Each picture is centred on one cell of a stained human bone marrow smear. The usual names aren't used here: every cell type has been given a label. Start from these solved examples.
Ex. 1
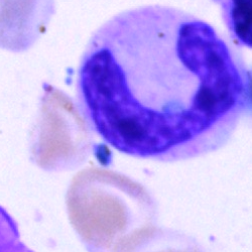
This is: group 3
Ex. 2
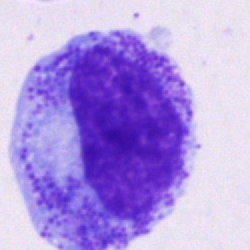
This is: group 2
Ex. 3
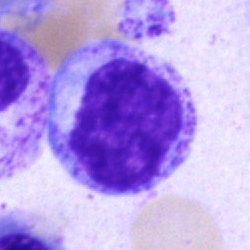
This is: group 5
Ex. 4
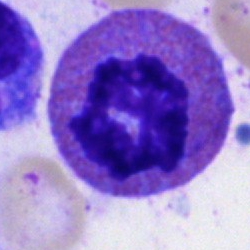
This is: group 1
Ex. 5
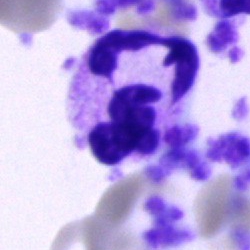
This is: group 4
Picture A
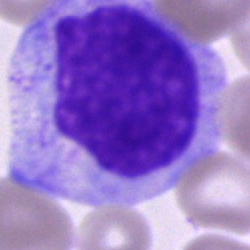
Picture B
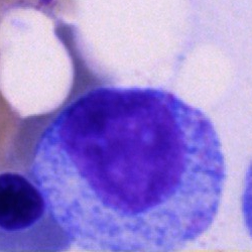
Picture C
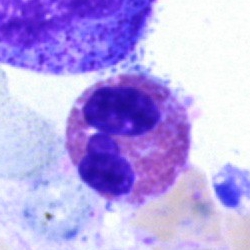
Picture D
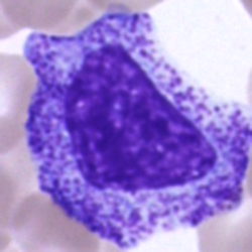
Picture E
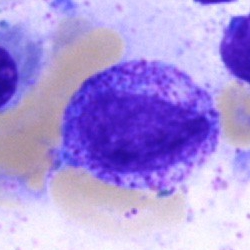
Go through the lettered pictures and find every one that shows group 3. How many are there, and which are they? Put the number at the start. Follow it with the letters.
0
